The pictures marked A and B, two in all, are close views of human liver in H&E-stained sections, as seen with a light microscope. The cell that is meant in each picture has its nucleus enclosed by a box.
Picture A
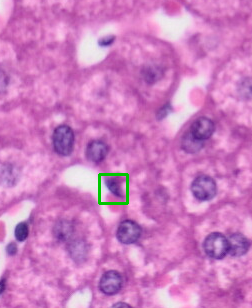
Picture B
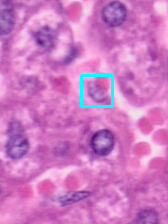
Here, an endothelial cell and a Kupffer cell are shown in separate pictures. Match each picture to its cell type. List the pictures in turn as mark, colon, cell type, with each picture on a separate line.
A: endothelial cell
B: Kupffer cell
